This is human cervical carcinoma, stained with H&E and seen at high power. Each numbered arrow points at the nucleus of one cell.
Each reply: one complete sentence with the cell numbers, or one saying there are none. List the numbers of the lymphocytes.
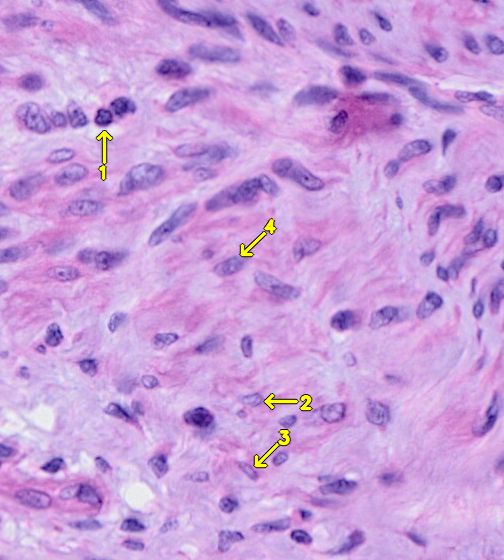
Cell 1 is a lymphocyte, and it is the only one.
